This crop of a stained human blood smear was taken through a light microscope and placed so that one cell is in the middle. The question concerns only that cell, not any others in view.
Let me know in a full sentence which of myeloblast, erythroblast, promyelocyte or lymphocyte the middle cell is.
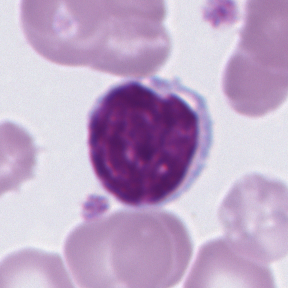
Here the centrally located cell is a lymphocyte.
